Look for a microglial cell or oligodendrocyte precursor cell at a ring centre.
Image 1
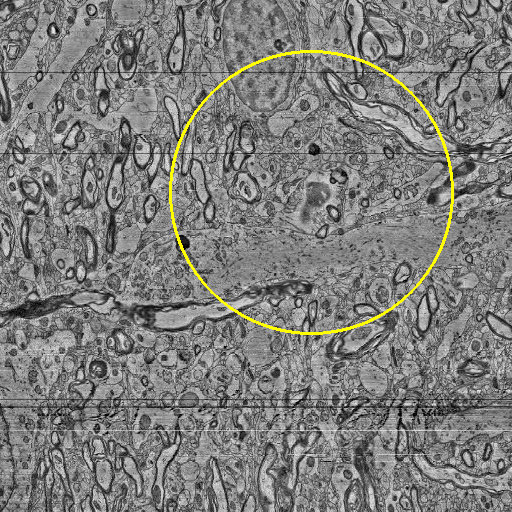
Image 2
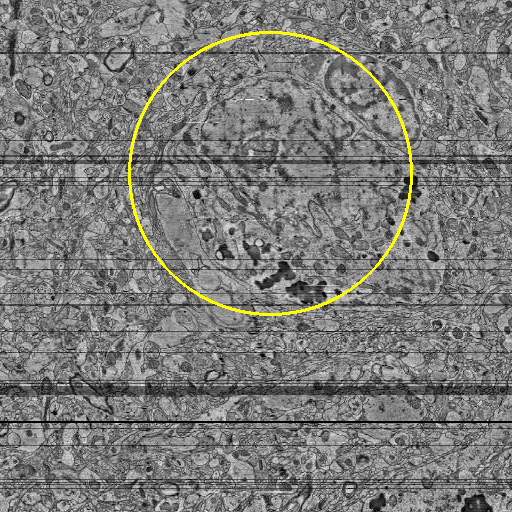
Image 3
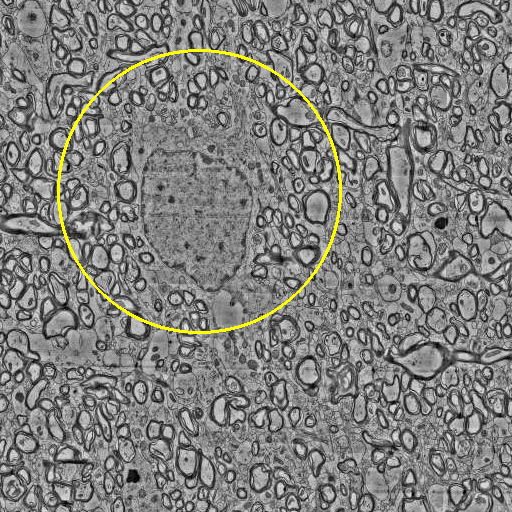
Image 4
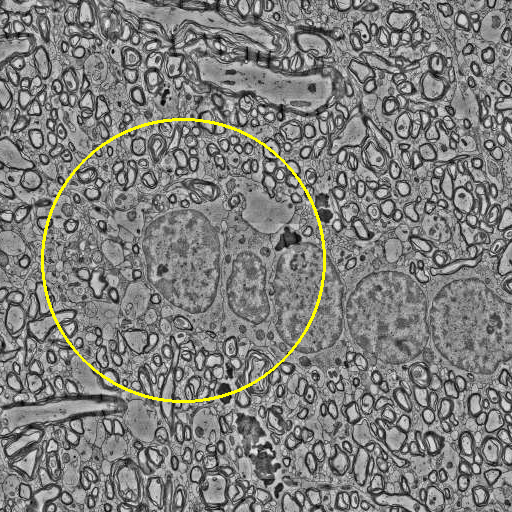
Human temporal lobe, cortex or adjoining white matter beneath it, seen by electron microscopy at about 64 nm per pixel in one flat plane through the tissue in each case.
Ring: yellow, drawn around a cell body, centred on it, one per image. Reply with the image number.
1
